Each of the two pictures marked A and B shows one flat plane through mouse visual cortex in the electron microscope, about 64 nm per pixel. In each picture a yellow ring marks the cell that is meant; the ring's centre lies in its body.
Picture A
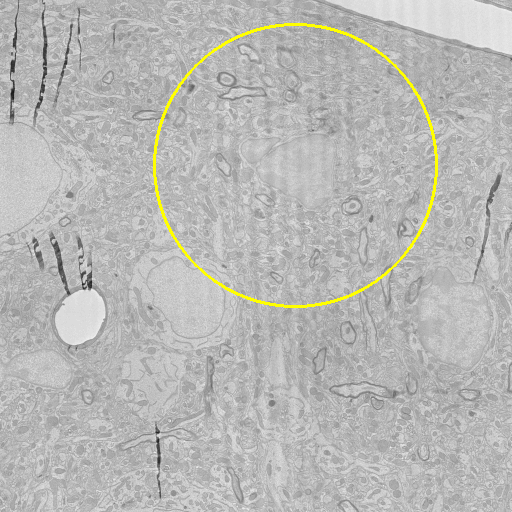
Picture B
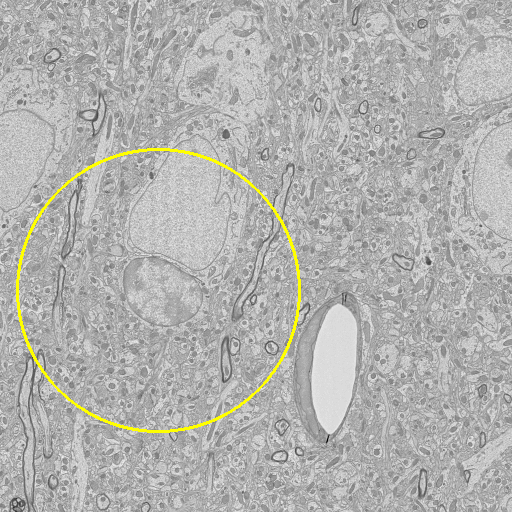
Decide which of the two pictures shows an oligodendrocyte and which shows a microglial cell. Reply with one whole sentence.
Picture A shows a microglial cell and picture B shows an oligodendrocyte.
